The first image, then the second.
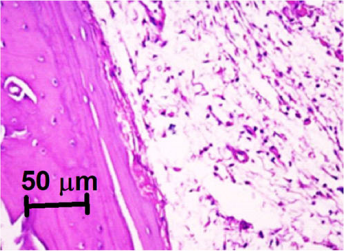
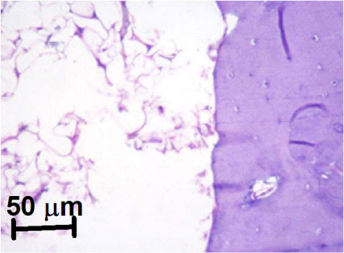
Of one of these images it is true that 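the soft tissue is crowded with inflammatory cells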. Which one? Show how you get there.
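Second image: the soft tissue beside the bone is pale and lacy with very few nuclei. First image: the soft tissue beside the bone holds many scattered dark nuclei. The answer: the first image.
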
